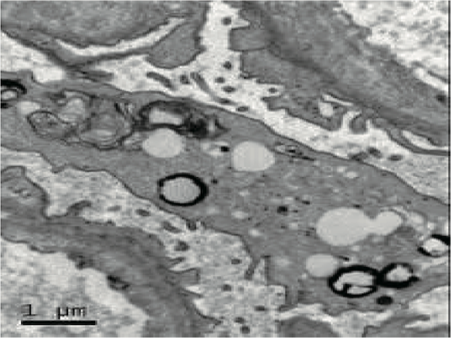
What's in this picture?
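A transmission electron micrograph of part of a podocyte lying beside a capillary wall. The cell's grey cytoplasm holds several pale, round, homogeneous droplets of differing size, and a few small bodies with thick, very dark rims and lighter centres. Smaller dark granules and vesicles are scattered through the cytoplasm. Along the edges of the field run the dense bands of basement membrane with the thin cytoplasm of neighbouring cells lying along them, and a pale space between separates the cells.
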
